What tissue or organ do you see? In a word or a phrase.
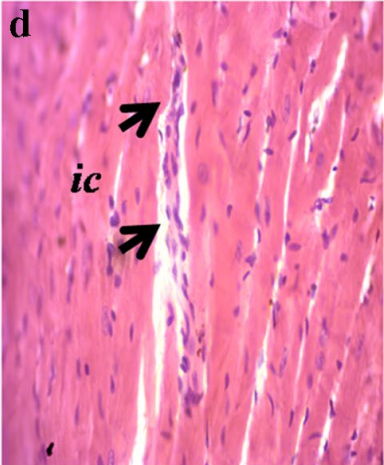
Heart.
